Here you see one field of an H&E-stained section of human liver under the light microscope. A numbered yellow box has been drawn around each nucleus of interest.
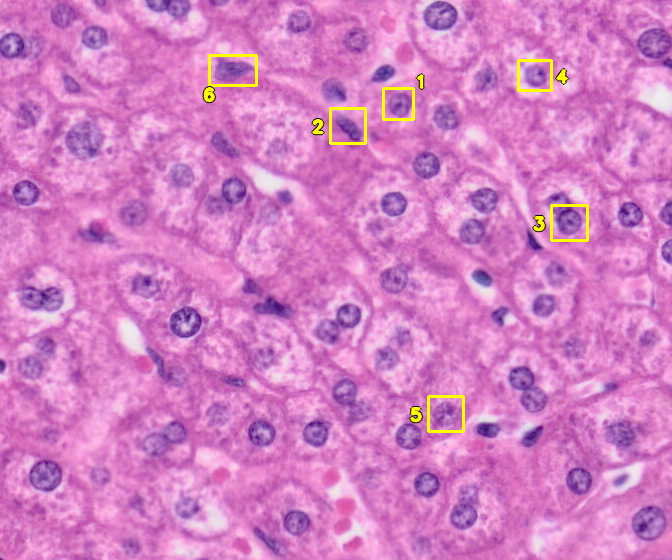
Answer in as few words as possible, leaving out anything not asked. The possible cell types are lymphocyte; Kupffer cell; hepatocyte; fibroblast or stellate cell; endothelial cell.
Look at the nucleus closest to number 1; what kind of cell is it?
lymphocyte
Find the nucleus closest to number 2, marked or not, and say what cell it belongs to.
endothelial cell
